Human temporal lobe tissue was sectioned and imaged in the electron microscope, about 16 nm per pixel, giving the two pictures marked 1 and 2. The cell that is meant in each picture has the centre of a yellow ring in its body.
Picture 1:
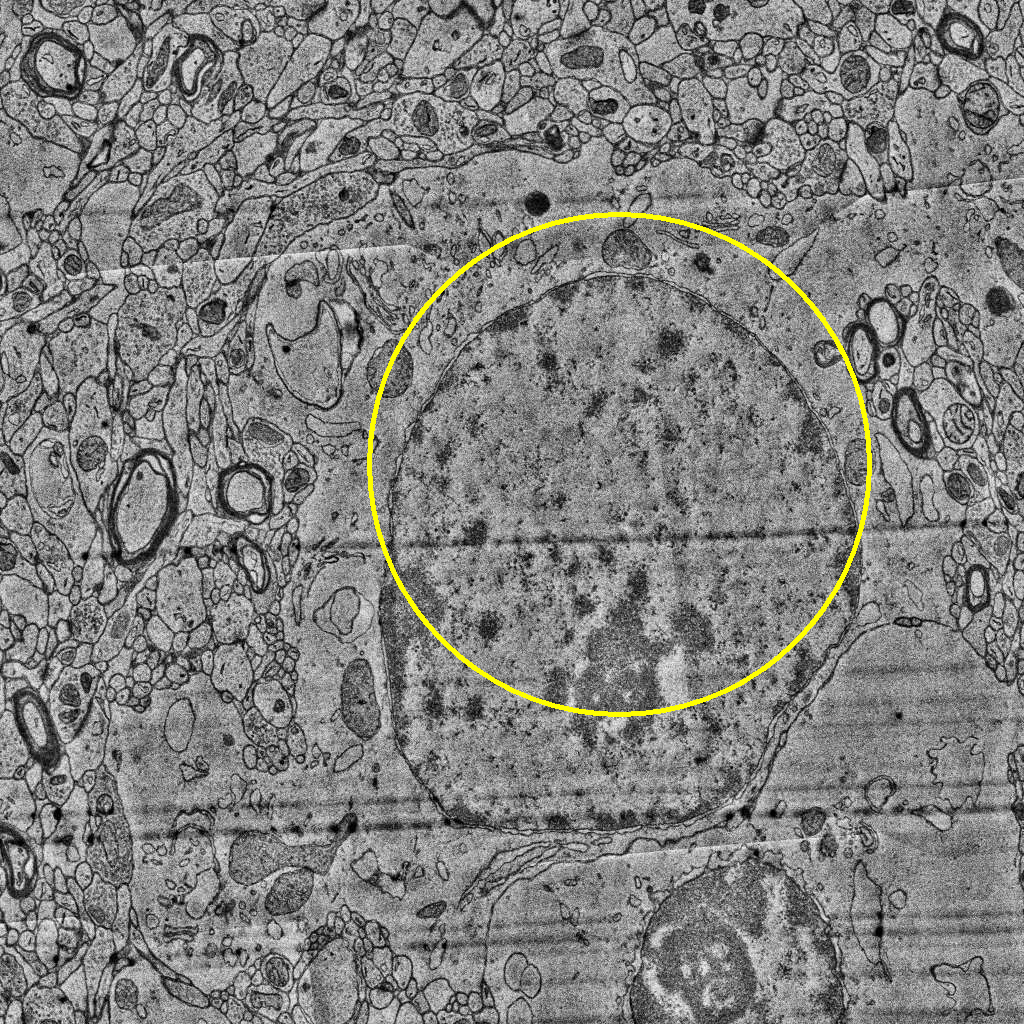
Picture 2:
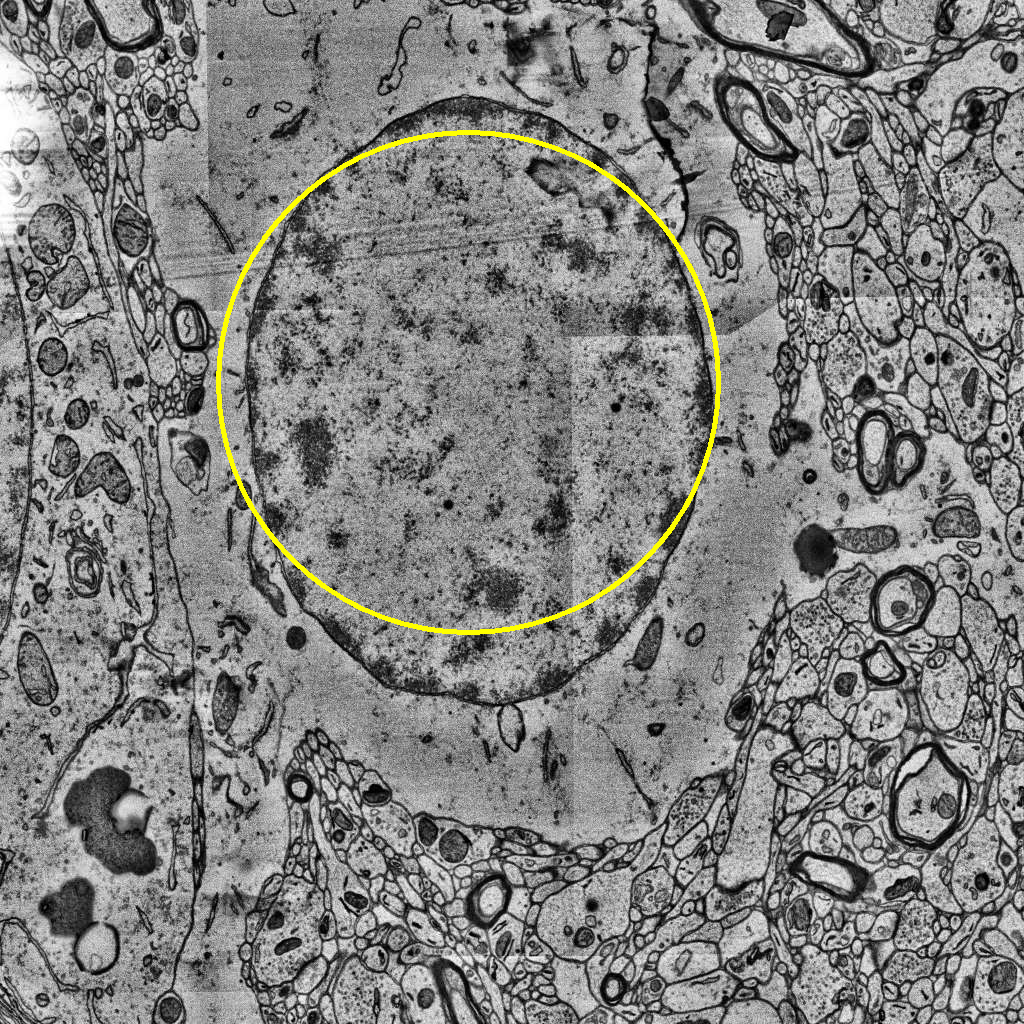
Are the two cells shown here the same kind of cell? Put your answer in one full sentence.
Yes, the two pictures both show astrocytes.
